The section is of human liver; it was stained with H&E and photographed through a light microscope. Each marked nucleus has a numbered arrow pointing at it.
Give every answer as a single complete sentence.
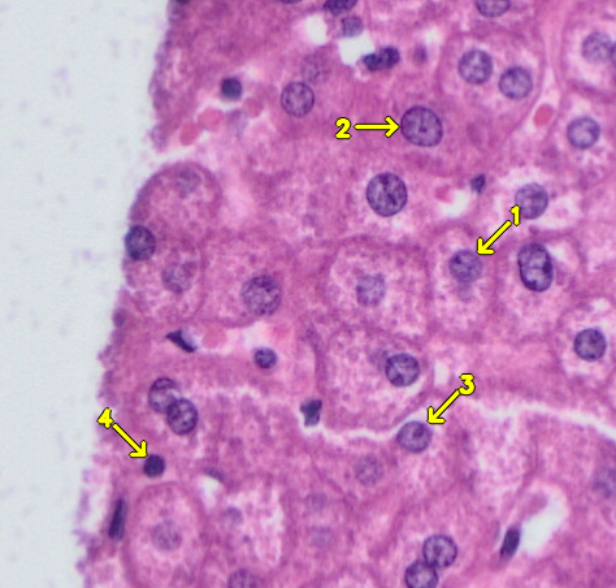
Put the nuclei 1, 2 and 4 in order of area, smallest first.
From smallest to largest, the order is 4, 1, 2.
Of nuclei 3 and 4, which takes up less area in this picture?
It is nucleus 4; nucleus 3 has about 2 times its area.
